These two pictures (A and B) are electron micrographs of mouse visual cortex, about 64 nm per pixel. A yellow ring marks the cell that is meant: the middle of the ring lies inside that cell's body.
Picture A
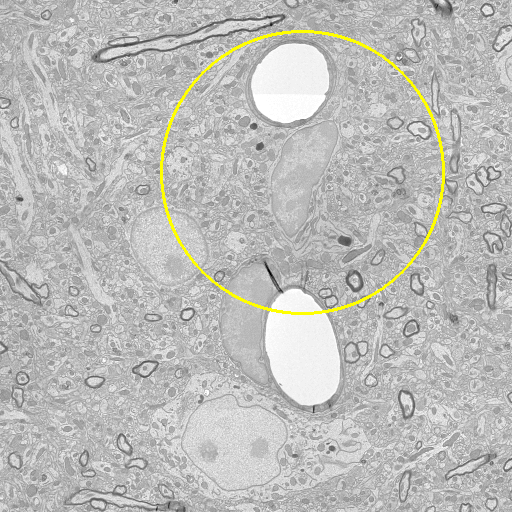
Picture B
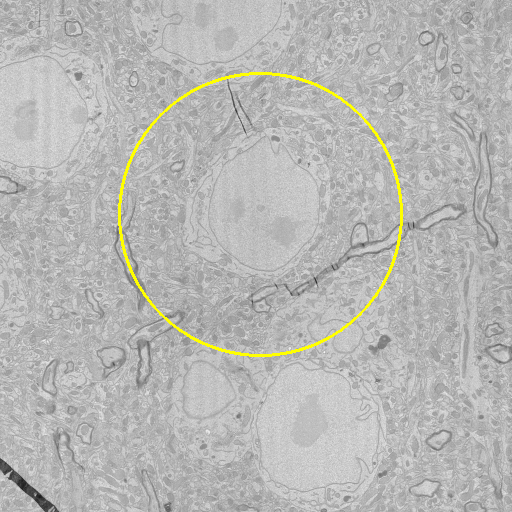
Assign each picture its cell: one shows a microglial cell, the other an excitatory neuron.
Picture A shows a microglial cell and picture B shows an excitatory neuron.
